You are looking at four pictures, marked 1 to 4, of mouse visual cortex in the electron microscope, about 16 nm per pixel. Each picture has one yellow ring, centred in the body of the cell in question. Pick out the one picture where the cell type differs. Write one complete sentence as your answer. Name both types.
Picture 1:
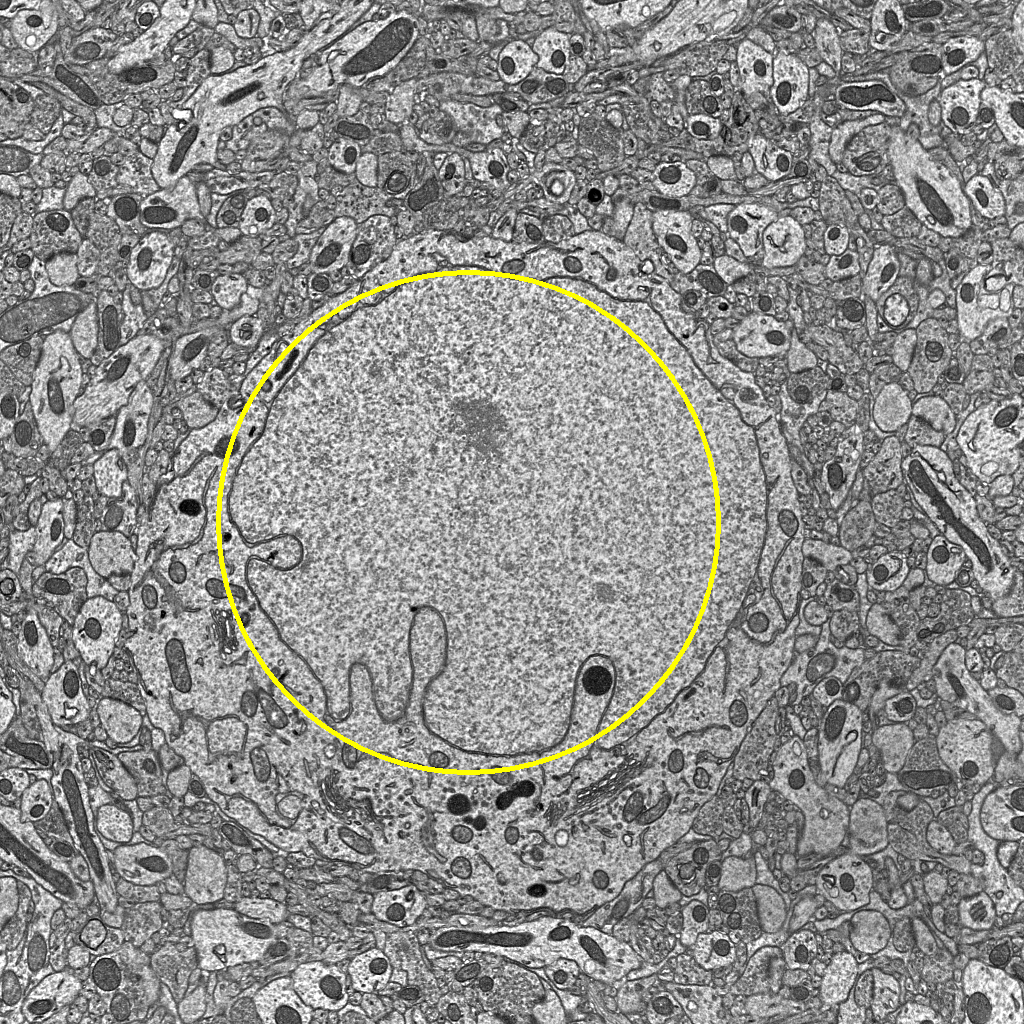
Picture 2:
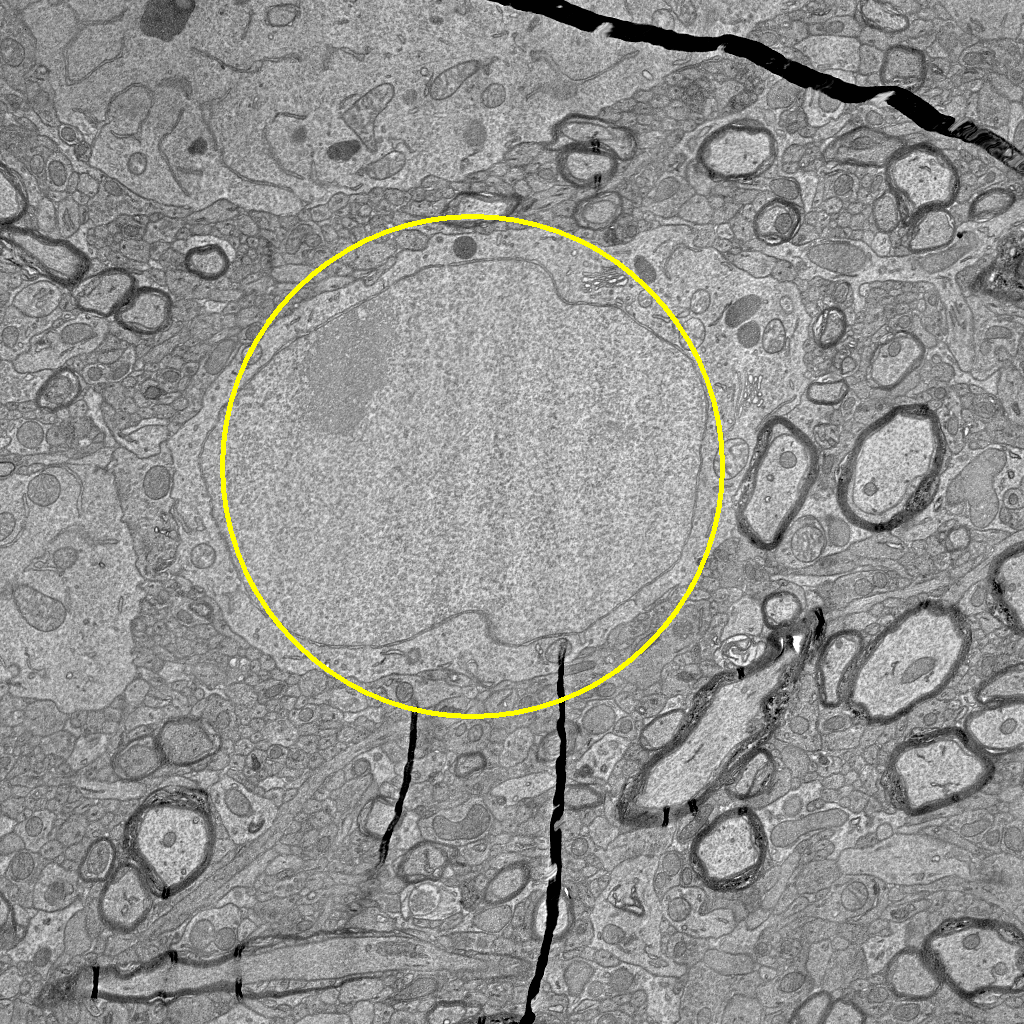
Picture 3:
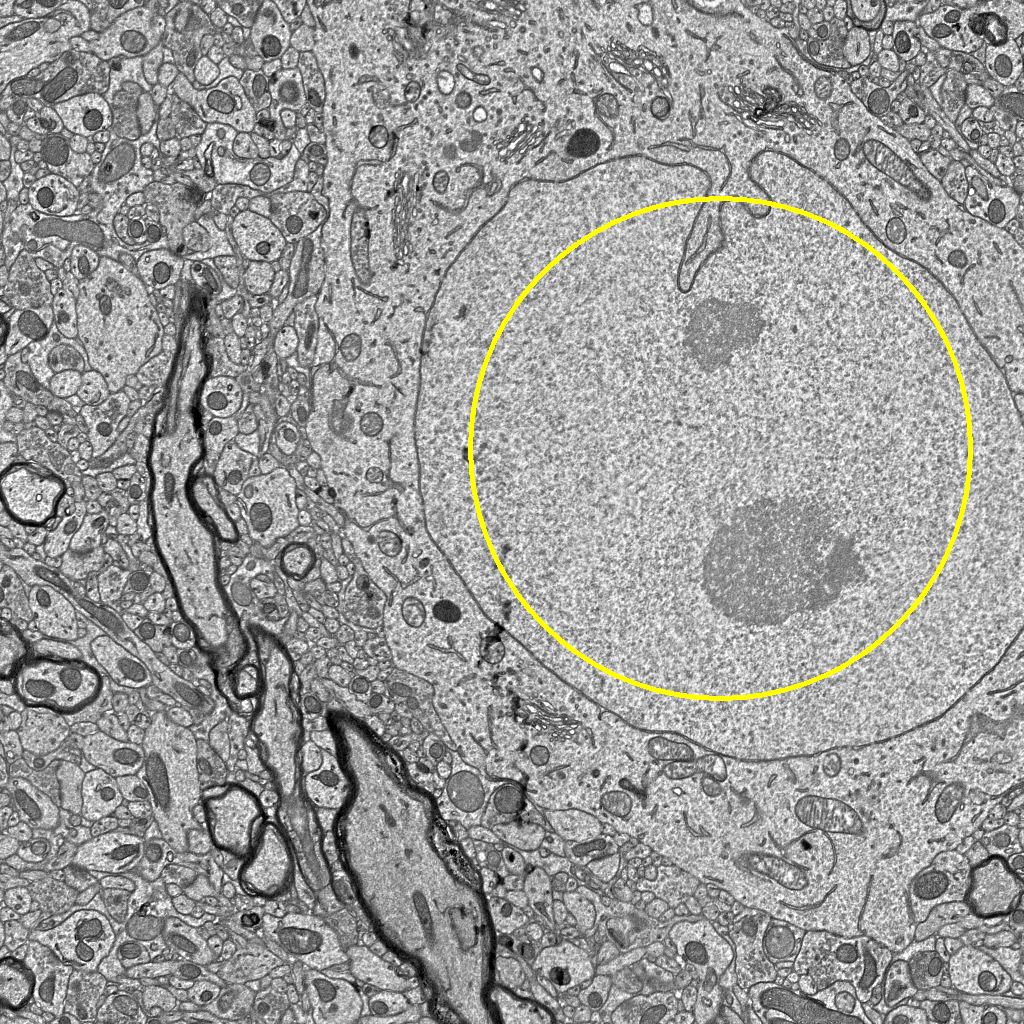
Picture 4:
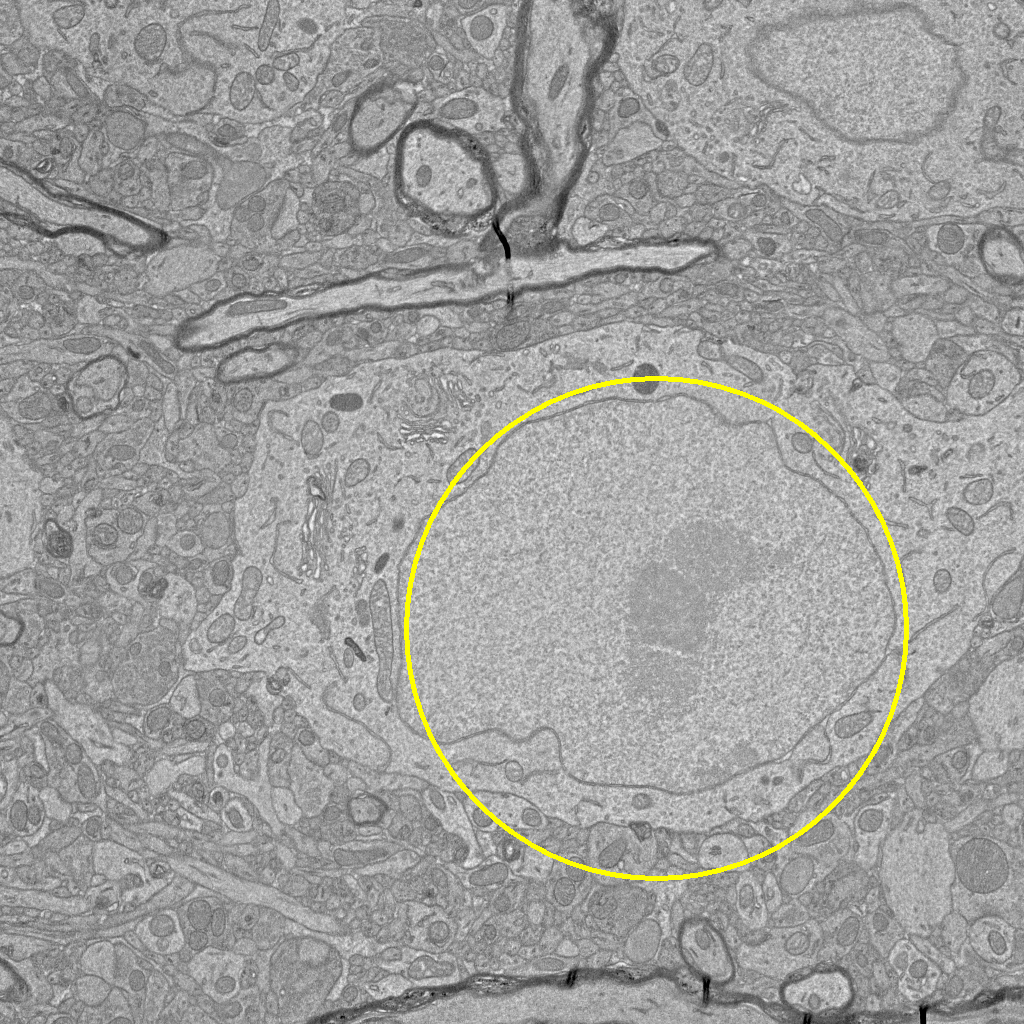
Picture 1 differs, because its cell is an inhibitory neuron and the rest are excitatory neurons.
